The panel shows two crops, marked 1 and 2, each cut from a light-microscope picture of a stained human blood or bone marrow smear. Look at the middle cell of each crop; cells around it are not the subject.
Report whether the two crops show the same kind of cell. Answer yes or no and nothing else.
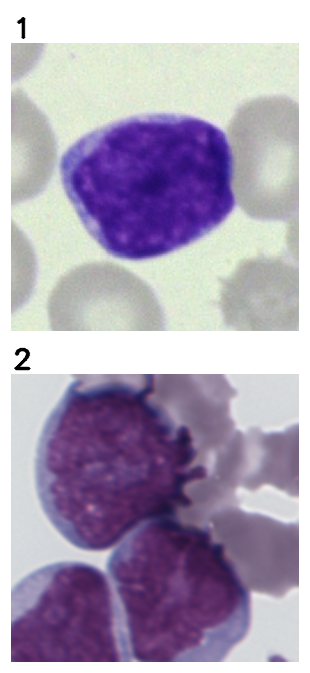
yes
